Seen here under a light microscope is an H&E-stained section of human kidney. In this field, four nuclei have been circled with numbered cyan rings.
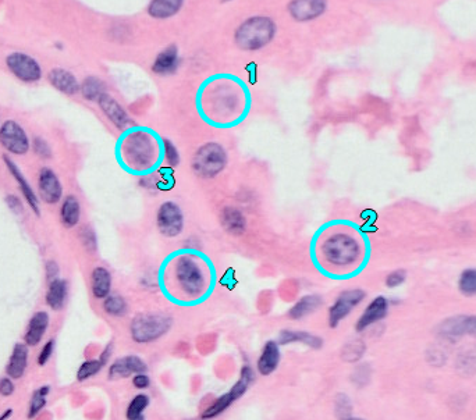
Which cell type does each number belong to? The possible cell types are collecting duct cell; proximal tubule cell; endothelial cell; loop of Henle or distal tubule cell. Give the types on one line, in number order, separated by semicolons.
proximal tubule cell; proximal tubule cell; collecting duct cell; collecting duct cell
